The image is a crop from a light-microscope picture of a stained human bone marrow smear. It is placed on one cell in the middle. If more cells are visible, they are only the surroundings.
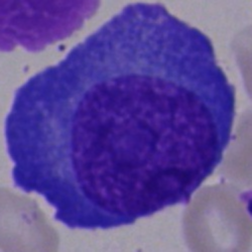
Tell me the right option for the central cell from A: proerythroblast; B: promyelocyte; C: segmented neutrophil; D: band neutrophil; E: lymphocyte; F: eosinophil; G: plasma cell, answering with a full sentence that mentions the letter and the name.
The cell at the heart of the crop is a plasma cell, so choose option G.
